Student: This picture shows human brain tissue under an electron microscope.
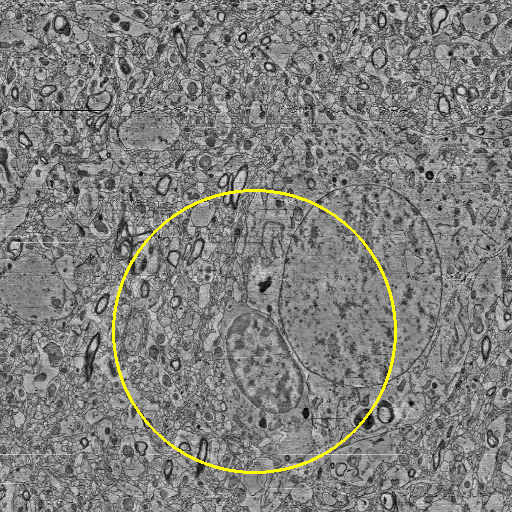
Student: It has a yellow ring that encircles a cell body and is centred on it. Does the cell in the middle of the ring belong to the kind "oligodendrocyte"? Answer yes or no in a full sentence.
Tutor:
Yes, the cell in the middle of the ring in this picture is of that kind.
